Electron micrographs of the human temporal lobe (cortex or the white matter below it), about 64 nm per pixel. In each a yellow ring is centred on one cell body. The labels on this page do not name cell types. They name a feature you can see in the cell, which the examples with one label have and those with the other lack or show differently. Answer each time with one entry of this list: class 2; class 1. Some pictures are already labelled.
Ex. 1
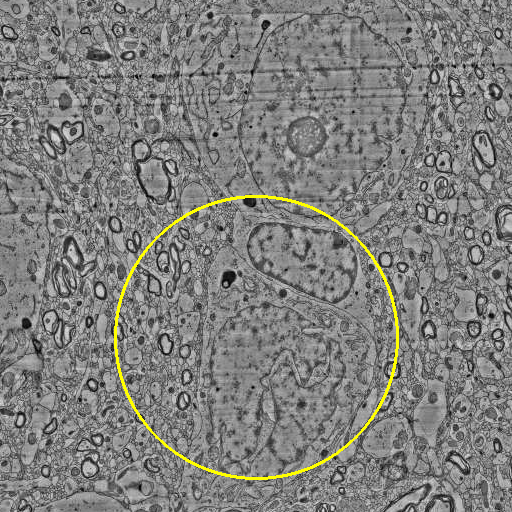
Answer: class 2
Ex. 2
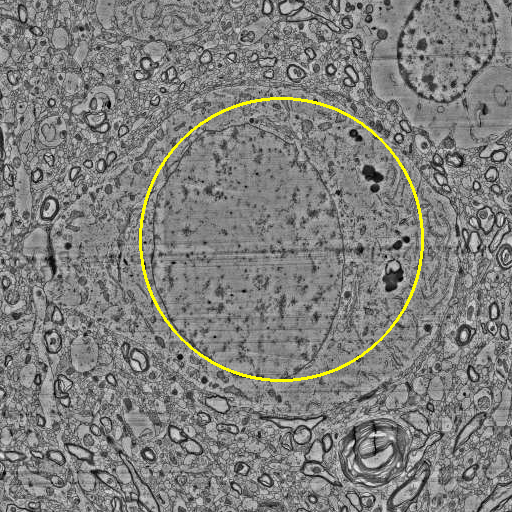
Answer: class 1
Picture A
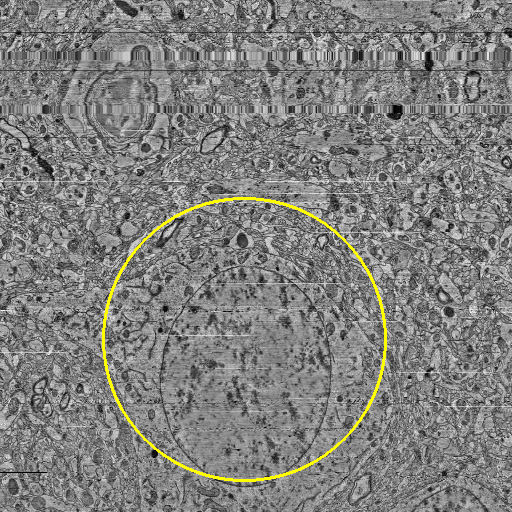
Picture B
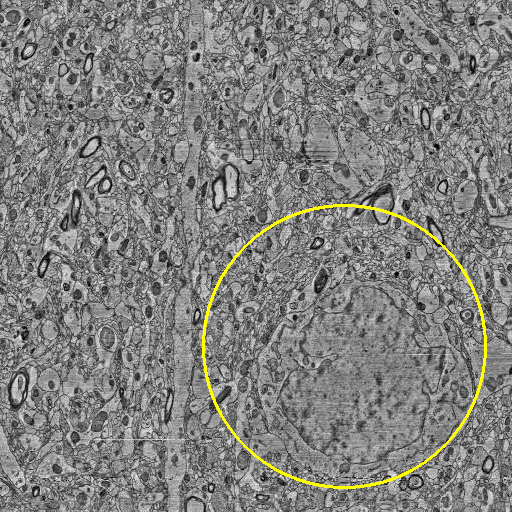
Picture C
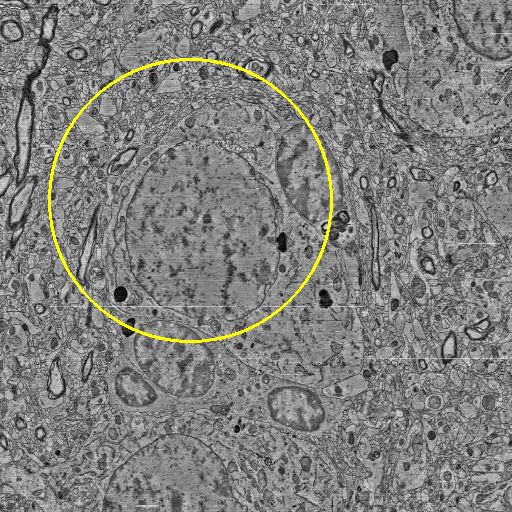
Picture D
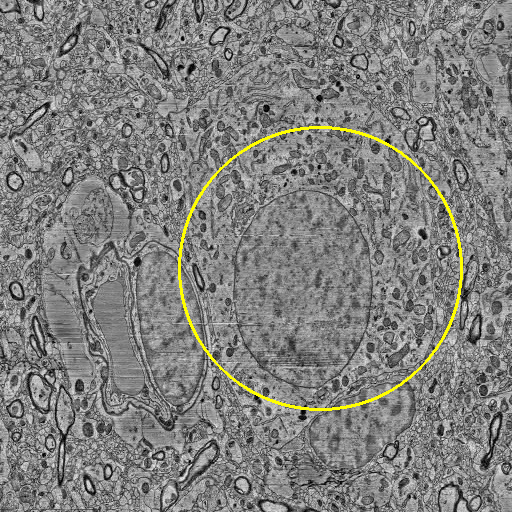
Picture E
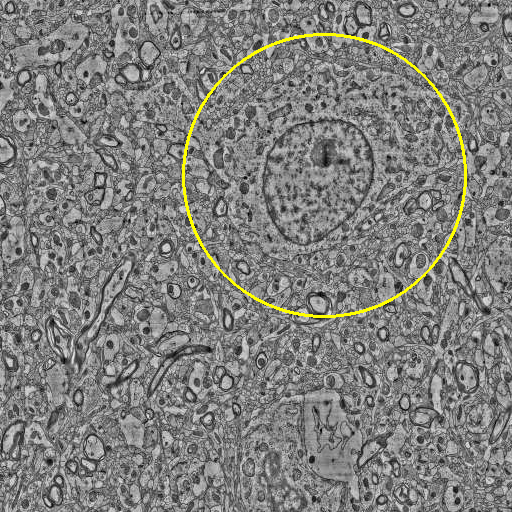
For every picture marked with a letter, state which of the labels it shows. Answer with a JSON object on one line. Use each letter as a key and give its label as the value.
{"A": "class 1", "B": "class 2", "C": "class 1", "D": "class 1", "E": "class 1"}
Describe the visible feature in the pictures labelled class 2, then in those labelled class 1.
In class 2: deeply folded or indented nuclear envelopes. In class 1: smooth nuclear envelopes without deep folds.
